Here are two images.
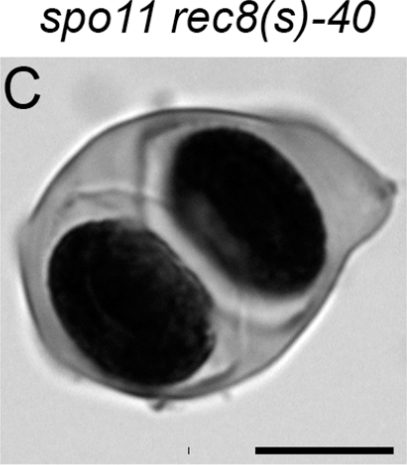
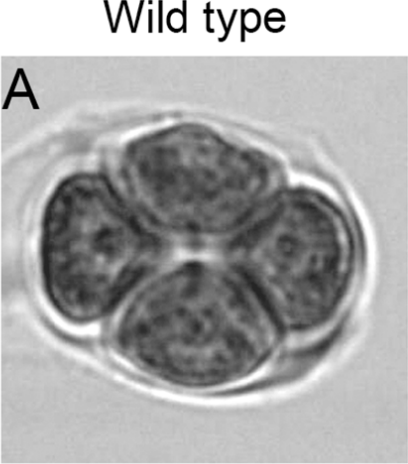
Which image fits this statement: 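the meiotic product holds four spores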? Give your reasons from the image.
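First image: two dark oval spores inside one wall. Second image: four rounded spores grouped symmetrically inside one wall. That points to this answer: the second image.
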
